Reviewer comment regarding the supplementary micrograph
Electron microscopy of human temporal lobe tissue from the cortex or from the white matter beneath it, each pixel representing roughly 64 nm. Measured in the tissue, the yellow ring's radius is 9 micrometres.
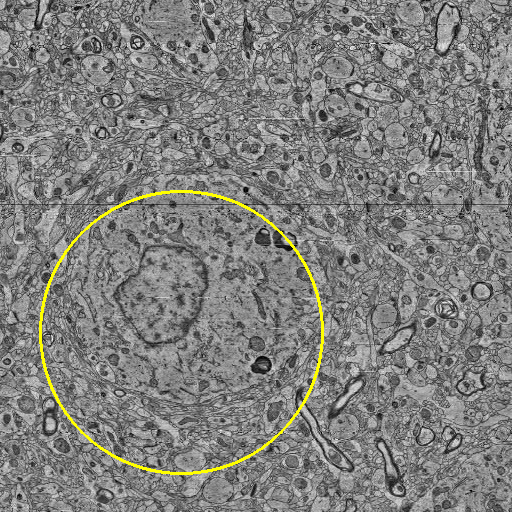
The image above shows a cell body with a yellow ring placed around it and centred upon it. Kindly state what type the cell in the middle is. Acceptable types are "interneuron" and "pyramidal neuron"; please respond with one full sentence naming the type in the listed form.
In the image above, the cell on which the yellow ring is centred is a pyramidal neuron.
